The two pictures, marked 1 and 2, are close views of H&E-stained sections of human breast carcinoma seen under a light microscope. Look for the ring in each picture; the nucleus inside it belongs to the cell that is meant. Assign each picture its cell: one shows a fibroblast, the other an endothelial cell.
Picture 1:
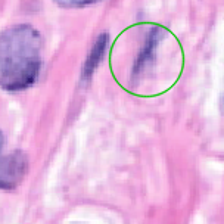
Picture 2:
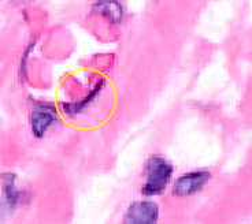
1: fibroblast
2: endothelial cell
